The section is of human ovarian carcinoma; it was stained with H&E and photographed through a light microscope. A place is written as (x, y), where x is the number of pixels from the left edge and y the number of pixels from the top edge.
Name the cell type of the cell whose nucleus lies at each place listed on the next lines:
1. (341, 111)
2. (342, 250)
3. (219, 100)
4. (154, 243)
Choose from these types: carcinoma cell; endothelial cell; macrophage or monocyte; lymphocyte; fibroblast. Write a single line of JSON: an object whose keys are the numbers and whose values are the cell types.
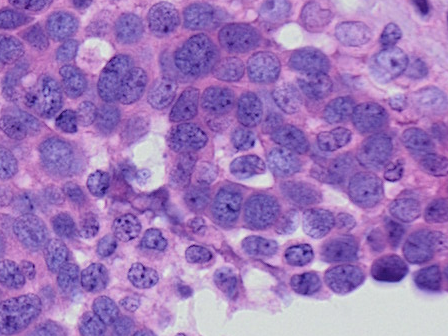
{"1": "carcinoma cell", "2": "carcinoma cell", "3": "carcinoma cell", "4": "macrophage or monocyte"}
